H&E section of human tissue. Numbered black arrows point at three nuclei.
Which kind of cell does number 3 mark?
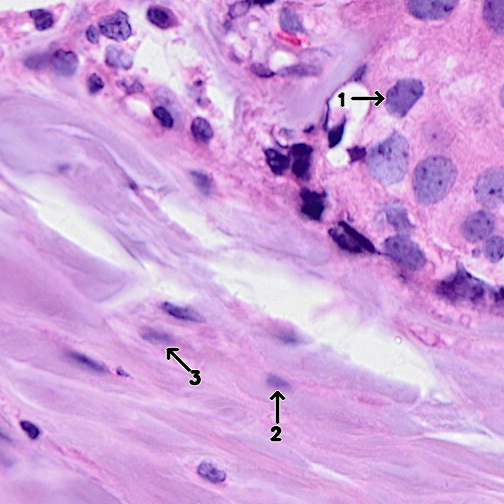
fibroblast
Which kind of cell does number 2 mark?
fibroblast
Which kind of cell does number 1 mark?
carcinoma cell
